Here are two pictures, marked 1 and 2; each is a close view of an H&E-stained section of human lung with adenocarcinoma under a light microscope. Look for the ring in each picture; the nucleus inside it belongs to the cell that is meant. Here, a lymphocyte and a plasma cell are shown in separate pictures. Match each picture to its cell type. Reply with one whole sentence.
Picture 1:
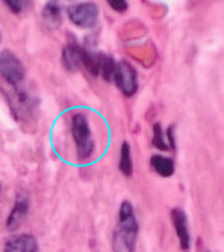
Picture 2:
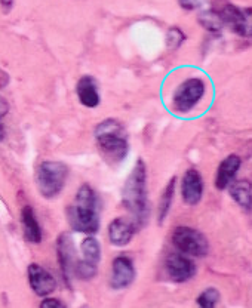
Picture 1 is of a plasma cell, and picture 2 is of a lymphocyte.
